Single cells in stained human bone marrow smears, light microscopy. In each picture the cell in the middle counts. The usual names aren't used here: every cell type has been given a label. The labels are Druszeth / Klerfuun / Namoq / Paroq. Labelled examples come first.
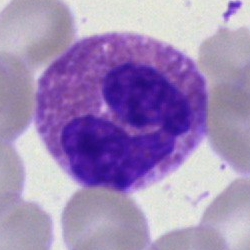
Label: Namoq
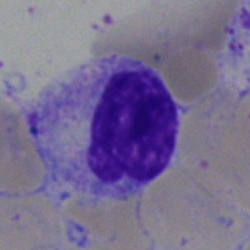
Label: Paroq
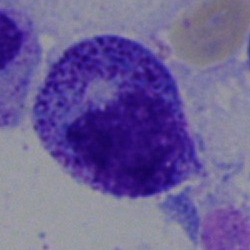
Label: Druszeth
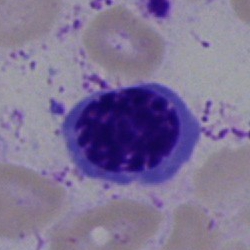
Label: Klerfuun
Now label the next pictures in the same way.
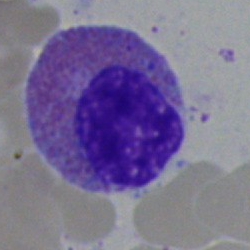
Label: Namoq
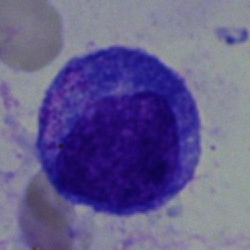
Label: Druszeth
